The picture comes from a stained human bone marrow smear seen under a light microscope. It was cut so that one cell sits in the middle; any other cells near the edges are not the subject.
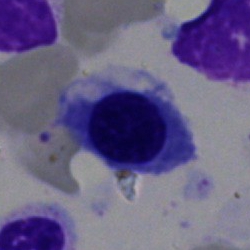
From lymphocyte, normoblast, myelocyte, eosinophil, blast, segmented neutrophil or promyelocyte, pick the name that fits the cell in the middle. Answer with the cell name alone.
normoblast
